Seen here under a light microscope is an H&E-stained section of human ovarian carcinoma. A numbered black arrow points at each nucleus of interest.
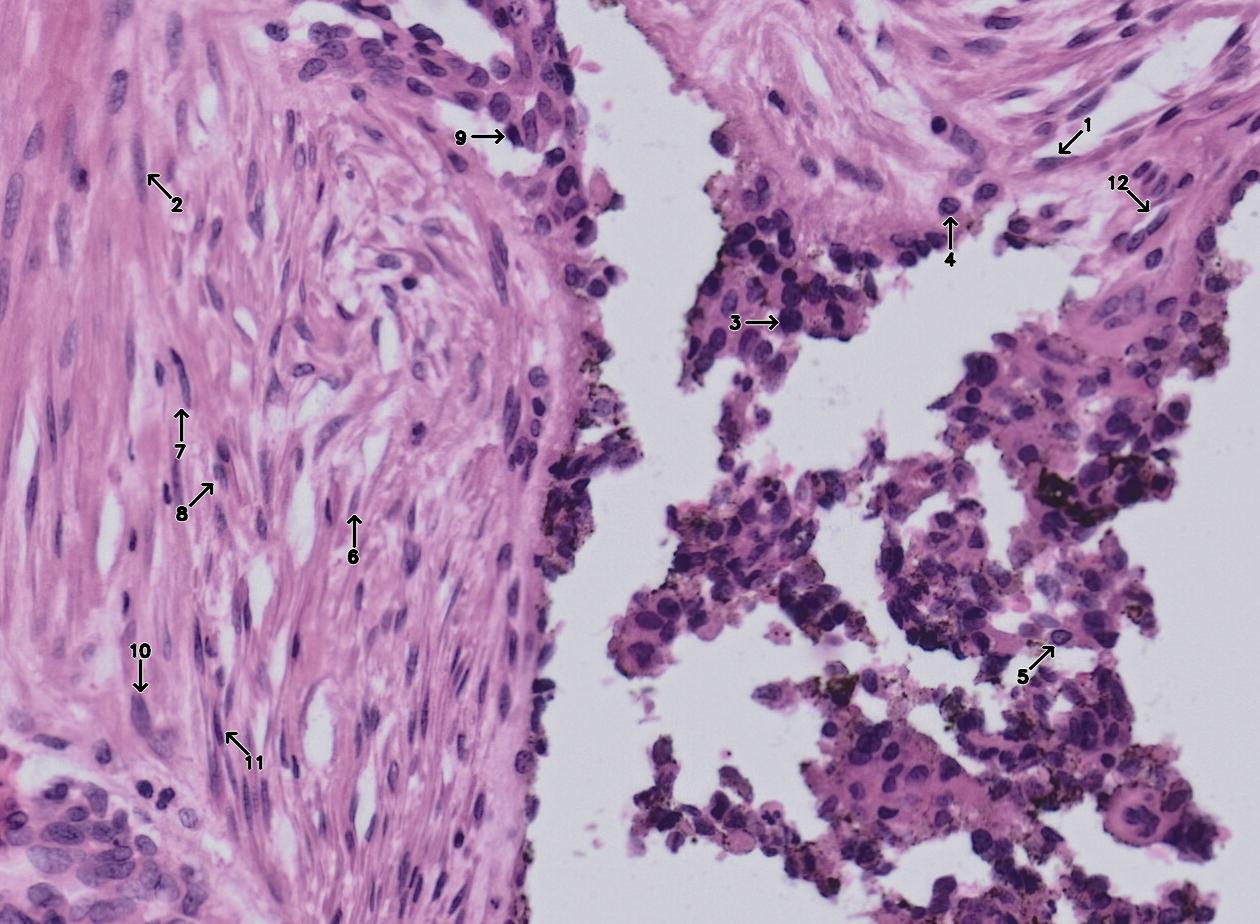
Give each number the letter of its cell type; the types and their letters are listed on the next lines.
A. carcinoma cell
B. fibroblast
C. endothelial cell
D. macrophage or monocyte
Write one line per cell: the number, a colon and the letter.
1: B
2: B
3: A
4: D
5: D
6: B
7: B
8: B
9: A
10: B
11: B
12: C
